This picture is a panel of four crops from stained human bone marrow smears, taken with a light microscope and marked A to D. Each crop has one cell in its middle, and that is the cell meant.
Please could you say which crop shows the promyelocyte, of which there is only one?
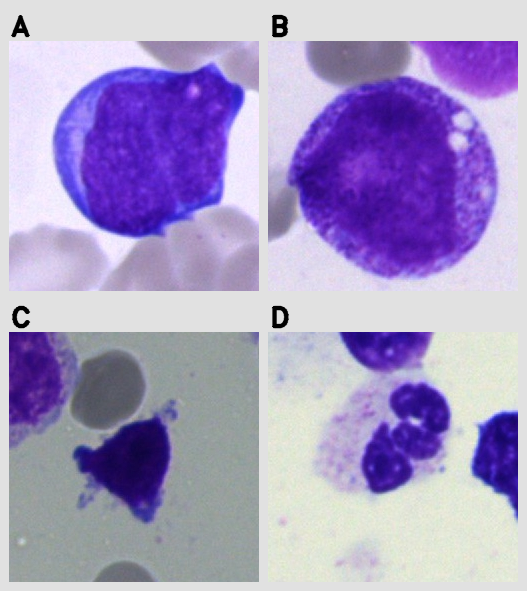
B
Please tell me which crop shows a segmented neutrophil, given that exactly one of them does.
D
